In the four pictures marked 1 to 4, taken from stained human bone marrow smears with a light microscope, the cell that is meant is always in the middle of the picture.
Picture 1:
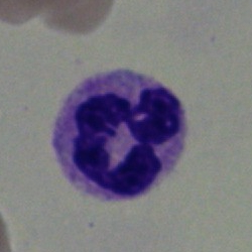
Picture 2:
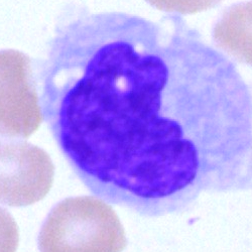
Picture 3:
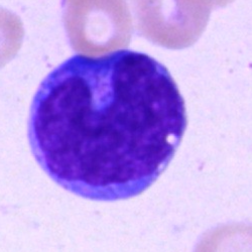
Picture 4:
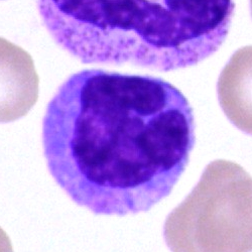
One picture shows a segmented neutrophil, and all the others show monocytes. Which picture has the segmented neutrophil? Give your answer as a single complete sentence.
The picture with the segmented neutrophil is 1.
